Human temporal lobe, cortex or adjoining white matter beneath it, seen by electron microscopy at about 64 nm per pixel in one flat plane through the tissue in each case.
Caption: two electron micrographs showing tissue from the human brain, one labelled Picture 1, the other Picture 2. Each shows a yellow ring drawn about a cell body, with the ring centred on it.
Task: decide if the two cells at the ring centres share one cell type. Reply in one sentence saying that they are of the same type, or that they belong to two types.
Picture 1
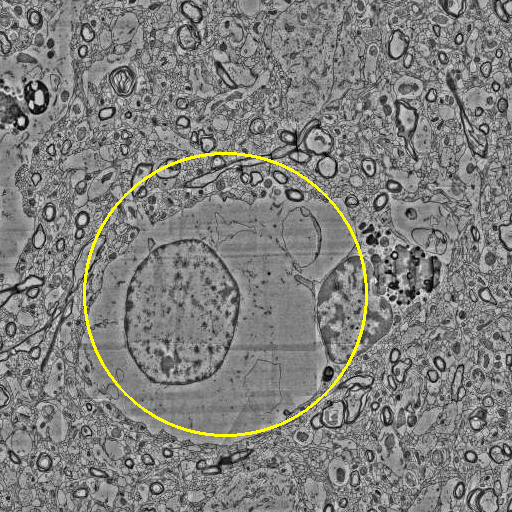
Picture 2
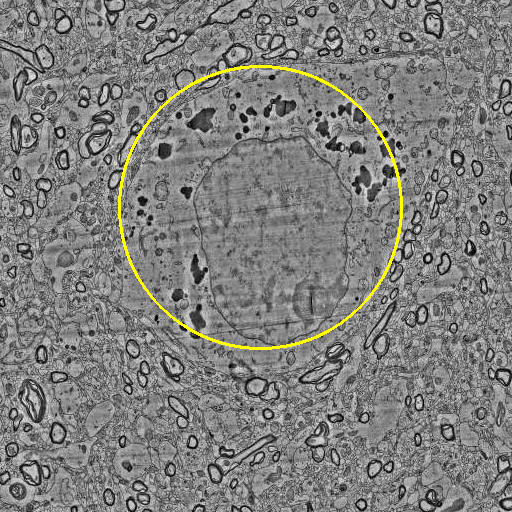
The cells at the ring centres in Picture 1 and Picture 2 belong to two types.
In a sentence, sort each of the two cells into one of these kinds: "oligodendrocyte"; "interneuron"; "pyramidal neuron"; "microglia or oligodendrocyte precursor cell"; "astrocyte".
The first of the two cells is an astrocyte, and the second is a pyramidal neuron.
